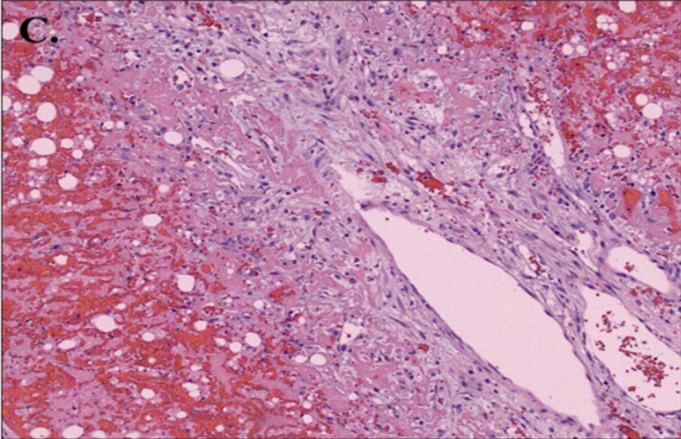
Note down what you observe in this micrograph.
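A thin-walled, dilated vessel runs diagonally through the middle, with smaller vessels containing red cells beside it. Toward the edges the spindle-cell tissue gives way to red hemorrhagic areas dotted with clear round vacuoles.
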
